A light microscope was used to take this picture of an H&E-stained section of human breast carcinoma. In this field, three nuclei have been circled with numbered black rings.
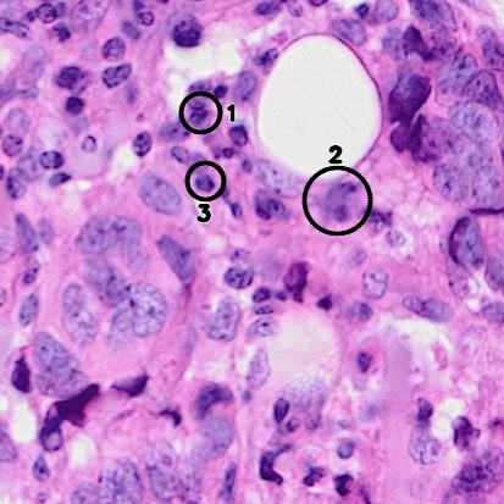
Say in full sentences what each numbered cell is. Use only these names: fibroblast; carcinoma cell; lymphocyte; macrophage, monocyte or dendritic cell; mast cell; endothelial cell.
Cell 1 is a lymphocyte, cell 2 is a carcinoma cell and cell 3 is a lymphocyte.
